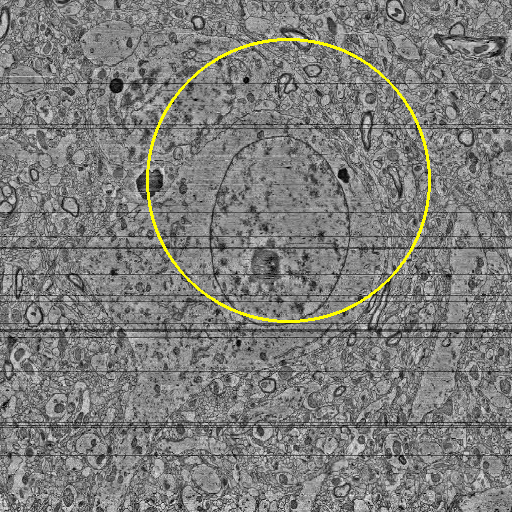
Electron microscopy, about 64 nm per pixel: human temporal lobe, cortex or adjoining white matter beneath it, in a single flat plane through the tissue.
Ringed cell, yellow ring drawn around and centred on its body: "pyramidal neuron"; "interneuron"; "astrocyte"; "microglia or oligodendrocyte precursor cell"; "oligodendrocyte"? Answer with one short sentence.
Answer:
This ringed cell is a pyramidal neuron.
